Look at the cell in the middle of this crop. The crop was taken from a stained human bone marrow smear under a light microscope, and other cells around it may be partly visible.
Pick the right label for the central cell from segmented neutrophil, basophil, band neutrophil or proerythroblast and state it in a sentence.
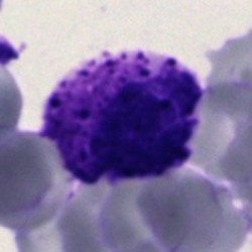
The cell in the middle of this crop is a basophil.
